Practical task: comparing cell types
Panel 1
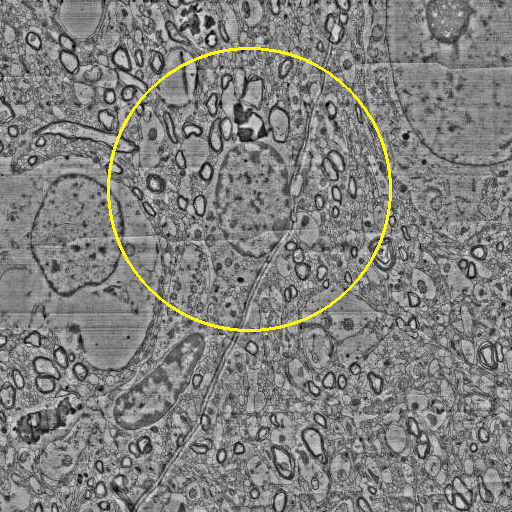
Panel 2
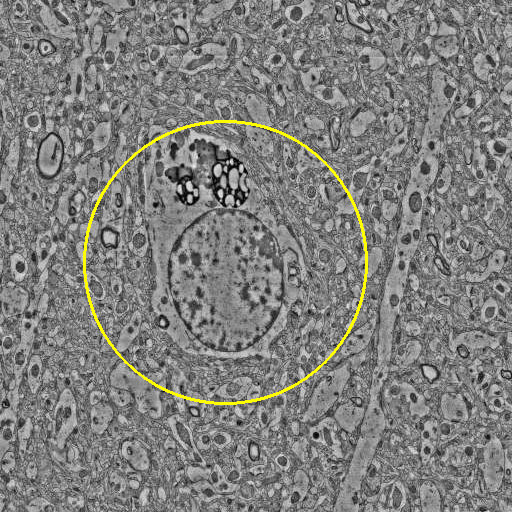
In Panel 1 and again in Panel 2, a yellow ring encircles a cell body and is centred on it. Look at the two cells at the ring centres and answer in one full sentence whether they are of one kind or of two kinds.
The two cells sitting at the ring centres of Panels 1 and 2 are of two kinds.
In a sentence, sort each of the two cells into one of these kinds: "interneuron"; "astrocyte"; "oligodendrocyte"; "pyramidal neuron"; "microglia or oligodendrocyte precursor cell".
The first of the two cells is an oligodendrocyte, and the second is an astrocyte.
